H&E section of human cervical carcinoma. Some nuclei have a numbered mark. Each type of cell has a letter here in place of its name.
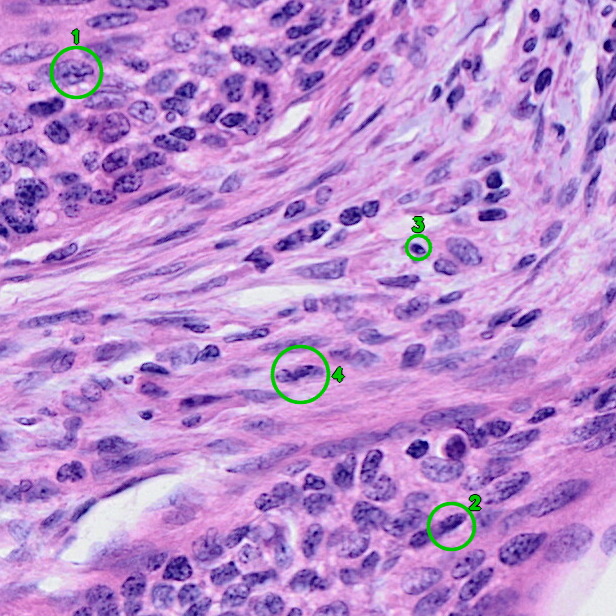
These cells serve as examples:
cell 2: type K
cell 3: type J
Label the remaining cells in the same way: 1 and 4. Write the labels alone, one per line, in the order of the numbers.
type K
type J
